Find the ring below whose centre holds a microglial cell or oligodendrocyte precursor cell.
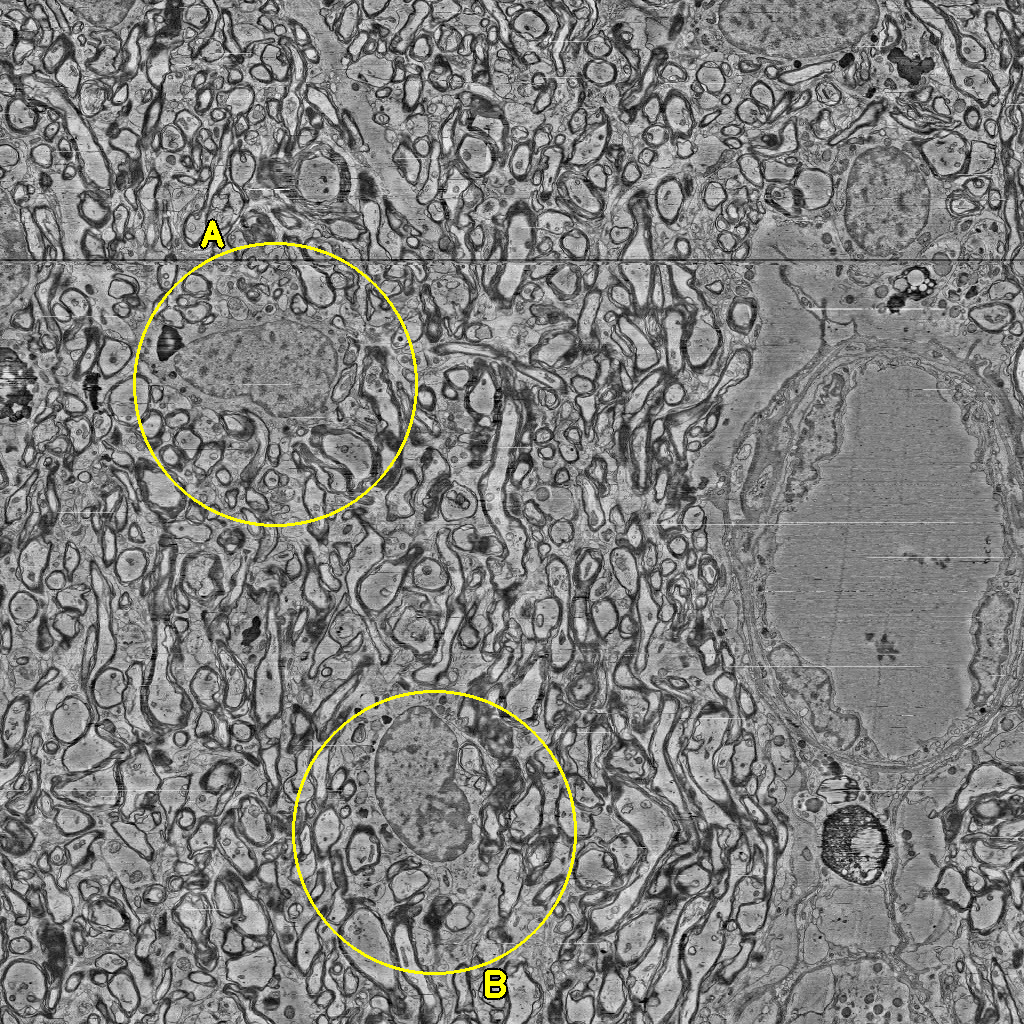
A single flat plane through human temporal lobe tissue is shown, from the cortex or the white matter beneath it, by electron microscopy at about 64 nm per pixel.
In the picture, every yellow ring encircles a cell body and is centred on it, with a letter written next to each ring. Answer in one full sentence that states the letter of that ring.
The ring centred on the cell asked for in the picture carries the letter B.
